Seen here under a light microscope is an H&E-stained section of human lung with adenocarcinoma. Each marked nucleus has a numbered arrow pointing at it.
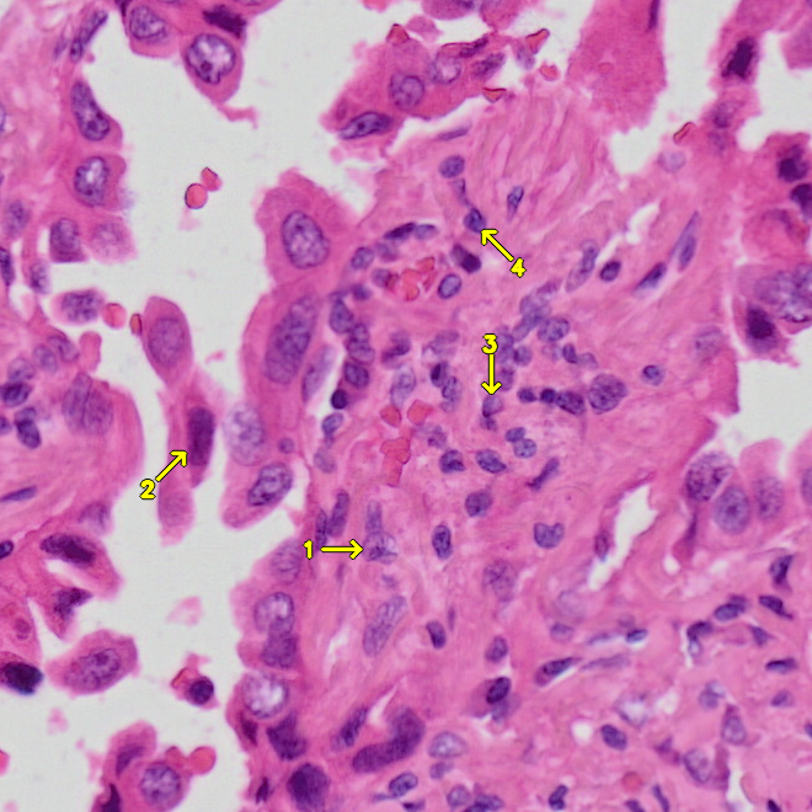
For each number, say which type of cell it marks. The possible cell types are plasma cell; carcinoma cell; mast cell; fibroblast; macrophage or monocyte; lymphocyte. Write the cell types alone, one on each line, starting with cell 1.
fibroblast
carcinoma cell
lymphocyte
lymphocyte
